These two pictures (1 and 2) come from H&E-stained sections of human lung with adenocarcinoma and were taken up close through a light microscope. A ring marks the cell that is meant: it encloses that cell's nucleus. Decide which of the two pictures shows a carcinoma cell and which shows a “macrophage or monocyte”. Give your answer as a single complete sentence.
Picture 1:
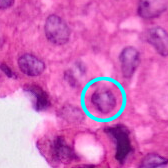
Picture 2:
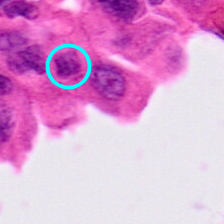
The cell in picture 1 is a “macrophage or monocyte”, and the one in picture 2 is a carcinoma cell.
